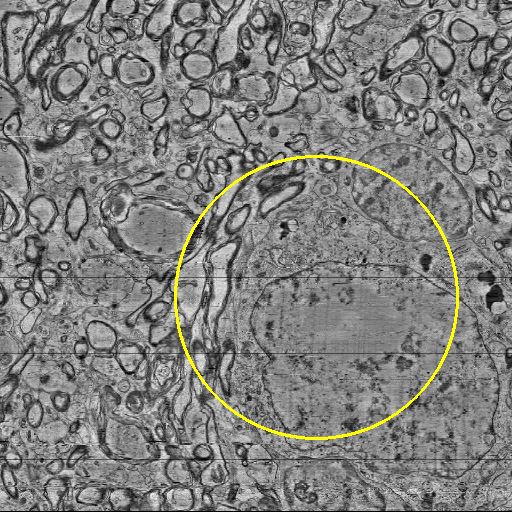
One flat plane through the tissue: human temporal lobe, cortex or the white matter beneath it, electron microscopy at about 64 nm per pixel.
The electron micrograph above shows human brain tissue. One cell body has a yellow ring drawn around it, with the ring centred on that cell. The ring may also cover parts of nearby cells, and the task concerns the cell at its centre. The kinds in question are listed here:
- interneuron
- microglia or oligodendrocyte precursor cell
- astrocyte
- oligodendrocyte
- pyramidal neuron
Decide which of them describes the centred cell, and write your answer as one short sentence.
The centred cell is a pyramidal neuron.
